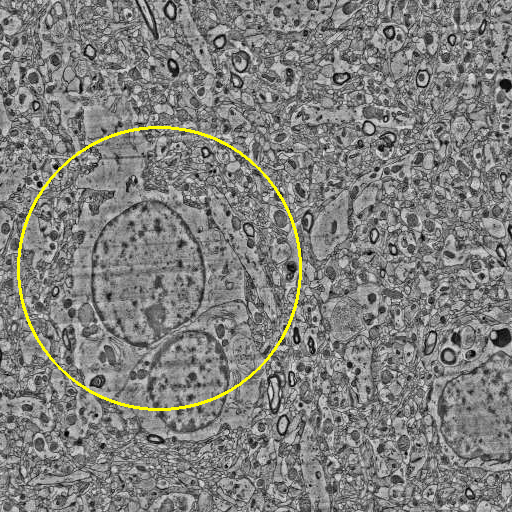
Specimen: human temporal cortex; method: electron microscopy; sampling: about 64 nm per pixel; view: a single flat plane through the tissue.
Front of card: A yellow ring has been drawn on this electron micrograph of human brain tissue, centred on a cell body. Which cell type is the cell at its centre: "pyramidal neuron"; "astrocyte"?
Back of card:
astrocyte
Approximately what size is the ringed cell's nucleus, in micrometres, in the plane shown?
In this plane, approximately 9 by 7 micrometers.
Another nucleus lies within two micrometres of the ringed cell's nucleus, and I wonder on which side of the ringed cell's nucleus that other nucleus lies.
The second nucleus is below it.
